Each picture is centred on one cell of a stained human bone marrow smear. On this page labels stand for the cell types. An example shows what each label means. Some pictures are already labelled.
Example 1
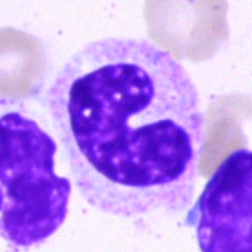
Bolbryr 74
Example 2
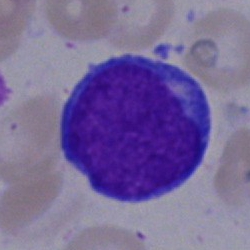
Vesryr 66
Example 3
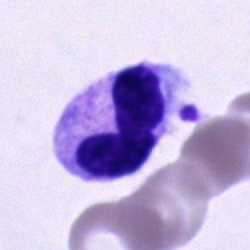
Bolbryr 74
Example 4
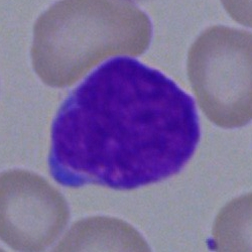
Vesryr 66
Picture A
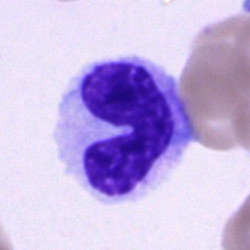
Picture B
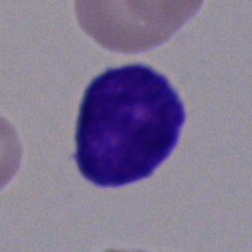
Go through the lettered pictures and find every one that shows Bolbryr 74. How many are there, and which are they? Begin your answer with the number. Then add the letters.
Count: 1 (A)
